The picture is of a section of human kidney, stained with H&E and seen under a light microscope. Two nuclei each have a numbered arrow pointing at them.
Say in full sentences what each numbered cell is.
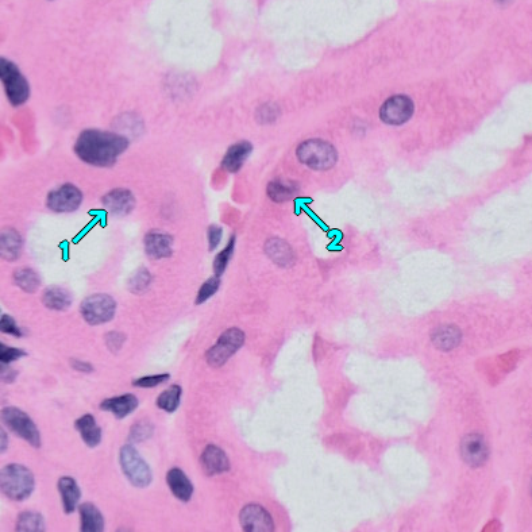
Cell 1 is a loop of Henle or distal tubule cell. Cell 2 is a proximal tubule cell.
